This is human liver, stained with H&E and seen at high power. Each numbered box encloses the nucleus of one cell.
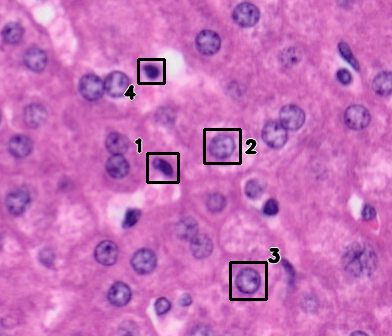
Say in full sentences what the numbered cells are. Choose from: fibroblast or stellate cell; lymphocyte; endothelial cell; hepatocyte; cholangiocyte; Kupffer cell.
Cell 1 is a fibroblast or stellate cell. Cells 2 and 3 are hepatocytes. Cell 4 is a lymphocyte.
